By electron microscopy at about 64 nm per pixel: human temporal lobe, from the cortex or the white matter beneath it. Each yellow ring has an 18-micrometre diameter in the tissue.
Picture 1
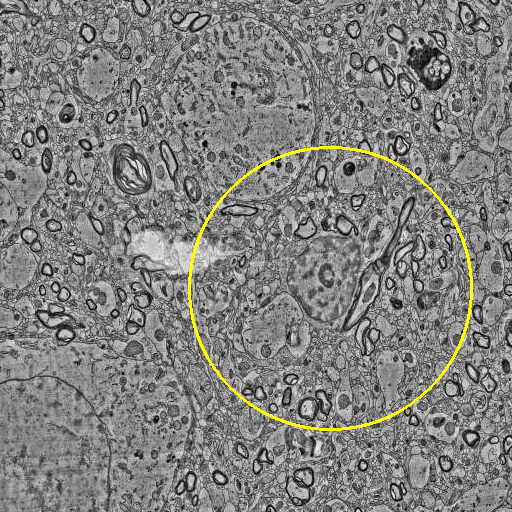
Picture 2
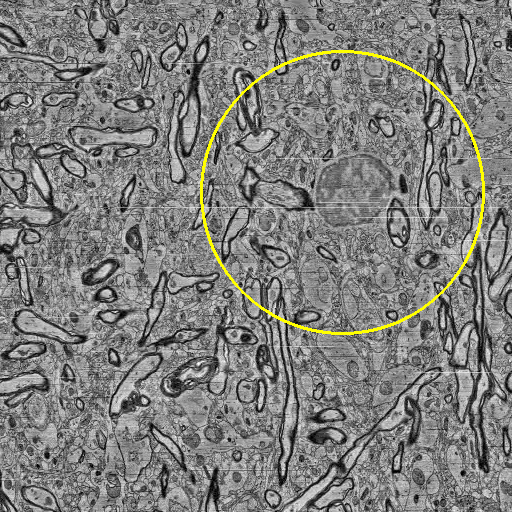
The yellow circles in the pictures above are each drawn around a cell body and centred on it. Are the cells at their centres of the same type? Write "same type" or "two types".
same type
